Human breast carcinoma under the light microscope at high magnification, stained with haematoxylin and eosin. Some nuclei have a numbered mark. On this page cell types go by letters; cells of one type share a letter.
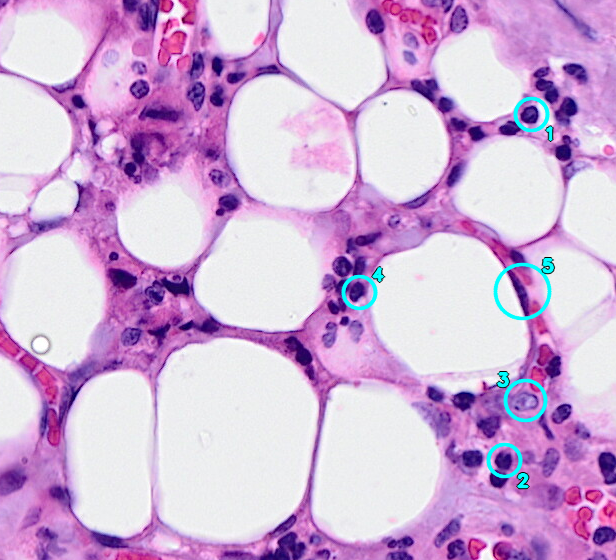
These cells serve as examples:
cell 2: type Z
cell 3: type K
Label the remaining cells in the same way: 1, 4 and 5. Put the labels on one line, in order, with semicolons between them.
type Z; type Z; type K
